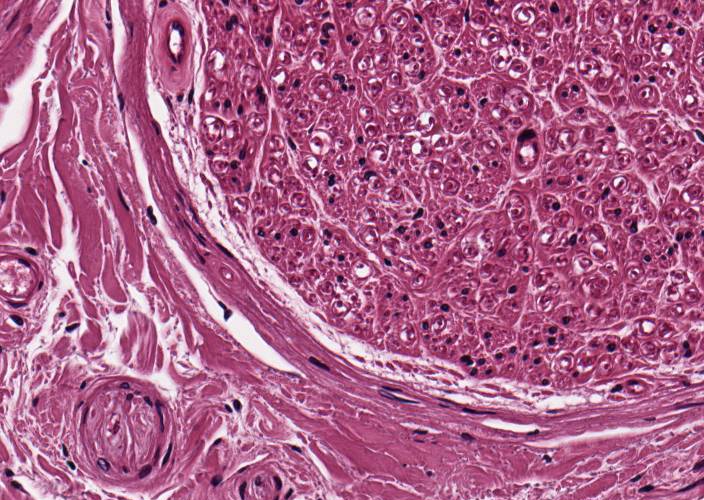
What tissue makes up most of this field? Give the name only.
nerve fascicle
